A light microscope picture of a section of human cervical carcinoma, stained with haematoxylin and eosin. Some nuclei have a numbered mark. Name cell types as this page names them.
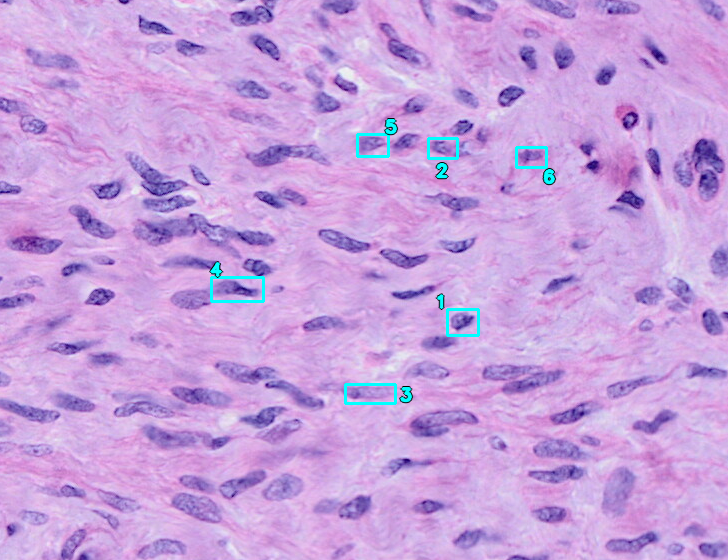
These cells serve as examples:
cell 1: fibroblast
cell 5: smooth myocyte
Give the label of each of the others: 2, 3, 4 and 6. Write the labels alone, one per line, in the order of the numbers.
smooth myocyte
smooth myocyte
fibroblast
smooth myocyte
